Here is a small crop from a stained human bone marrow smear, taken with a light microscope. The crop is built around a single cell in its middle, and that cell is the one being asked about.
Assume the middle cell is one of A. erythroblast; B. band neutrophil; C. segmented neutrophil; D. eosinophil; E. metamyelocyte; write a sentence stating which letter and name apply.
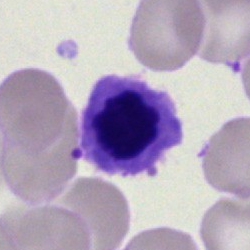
The expected answer is option A, the central cell being an erythroblast.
